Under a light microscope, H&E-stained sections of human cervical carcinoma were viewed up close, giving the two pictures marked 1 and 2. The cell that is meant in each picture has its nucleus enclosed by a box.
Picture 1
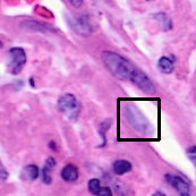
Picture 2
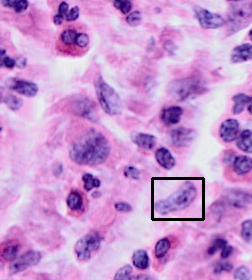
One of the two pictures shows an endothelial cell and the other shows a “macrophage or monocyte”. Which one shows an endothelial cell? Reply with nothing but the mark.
1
